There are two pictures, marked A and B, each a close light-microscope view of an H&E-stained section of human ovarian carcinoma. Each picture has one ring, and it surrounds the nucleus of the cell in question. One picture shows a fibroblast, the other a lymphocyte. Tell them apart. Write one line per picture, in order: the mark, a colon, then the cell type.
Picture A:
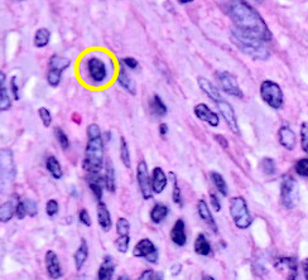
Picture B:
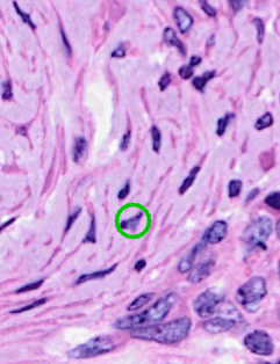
A: lymphocyte
B: fibroblast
